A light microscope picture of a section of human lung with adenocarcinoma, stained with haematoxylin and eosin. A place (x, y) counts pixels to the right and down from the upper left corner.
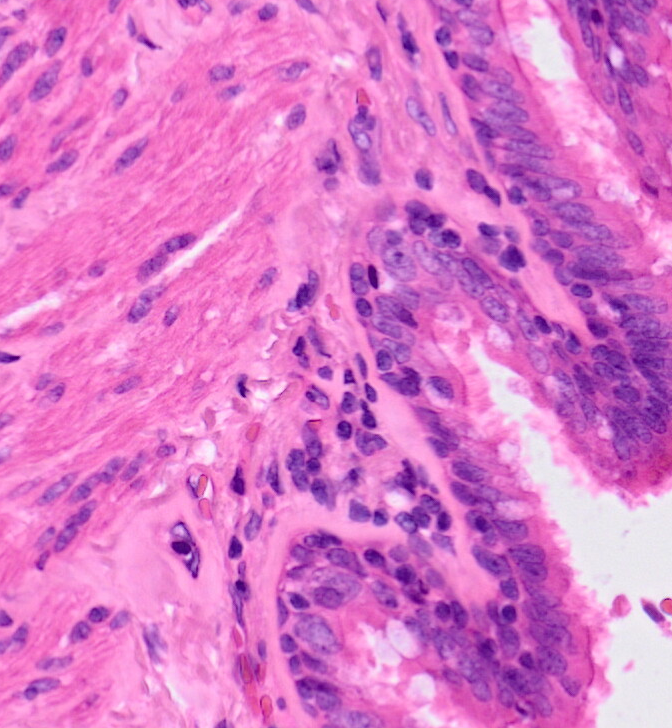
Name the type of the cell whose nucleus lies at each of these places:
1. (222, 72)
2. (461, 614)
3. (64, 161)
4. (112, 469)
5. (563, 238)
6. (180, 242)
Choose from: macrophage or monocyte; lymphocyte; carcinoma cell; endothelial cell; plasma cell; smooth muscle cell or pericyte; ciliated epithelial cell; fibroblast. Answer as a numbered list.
1. smooth muscle cell or pericyte
2. ciliated epithelial cell
3. smooth muscle cell or pericyte
4. smooth muscle cell or pericyte
5. ciliated epithelial cell
6. smooth muscle cell or pericyte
